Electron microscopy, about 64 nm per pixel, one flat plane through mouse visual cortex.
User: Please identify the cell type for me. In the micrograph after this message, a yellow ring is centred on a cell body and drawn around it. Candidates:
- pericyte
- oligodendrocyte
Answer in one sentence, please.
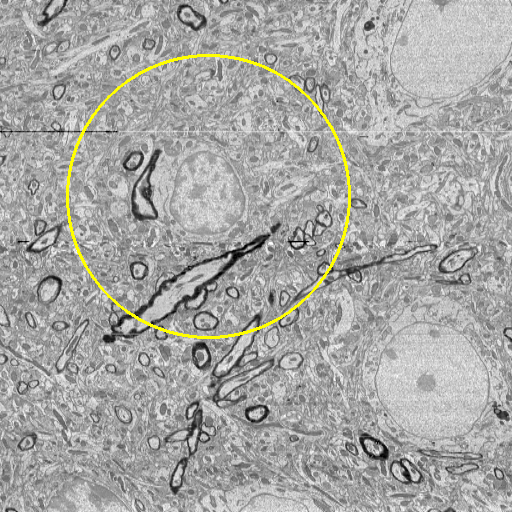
The ring is drawn around the cell body of an oligodendrocyte.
